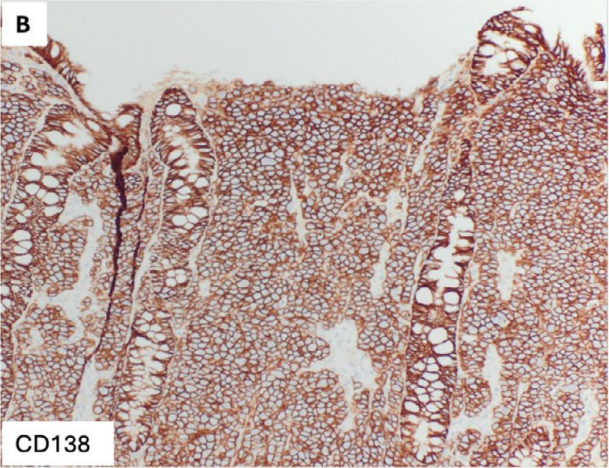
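Large intestinal mucosa in which sheets of plasma cells fill the lamina propria between the crypts. The plasma cells show crisp brown outlines at their membranes, giving a honeycomb-like pattern across the sheet. The crypt epithelium, with its pale goblet cells, is also stained brown along its cell borders. The sheets of stained cells extend up to the mucosal surface.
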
